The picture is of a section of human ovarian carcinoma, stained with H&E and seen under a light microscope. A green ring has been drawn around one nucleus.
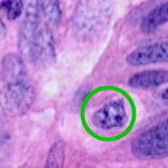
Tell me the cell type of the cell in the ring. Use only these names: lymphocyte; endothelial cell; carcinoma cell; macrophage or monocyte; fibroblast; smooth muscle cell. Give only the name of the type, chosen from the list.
macrophage or monocyte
